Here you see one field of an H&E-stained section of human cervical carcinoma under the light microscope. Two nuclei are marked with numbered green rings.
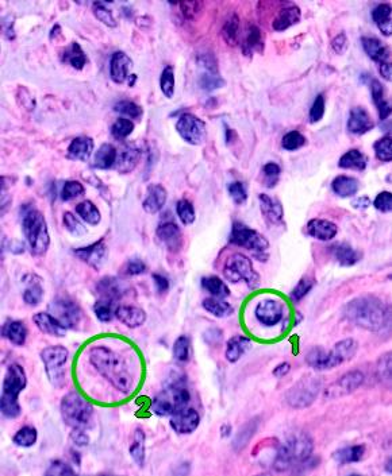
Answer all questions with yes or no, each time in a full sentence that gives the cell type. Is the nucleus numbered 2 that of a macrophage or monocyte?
Yes, to put it simply, cell number 2 is a macrophage or monocyte.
